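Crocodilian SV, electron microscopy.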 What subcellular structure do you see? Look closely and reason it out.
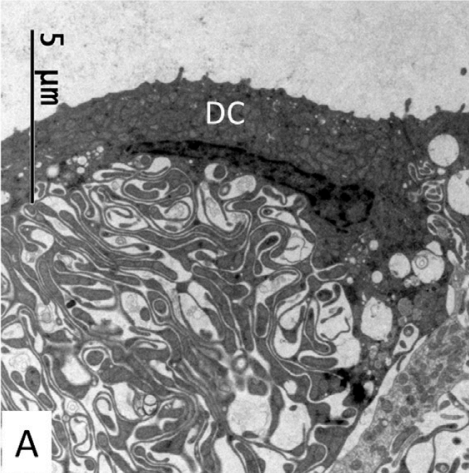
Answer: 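Beneath a thin band of dark apical cytoplasm lies a large mass of tightly folded, interdigitating membrane profiles. The folds enclose pale spaces and occupy most of the lower half of the image.
Hence: basal lamellae.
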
